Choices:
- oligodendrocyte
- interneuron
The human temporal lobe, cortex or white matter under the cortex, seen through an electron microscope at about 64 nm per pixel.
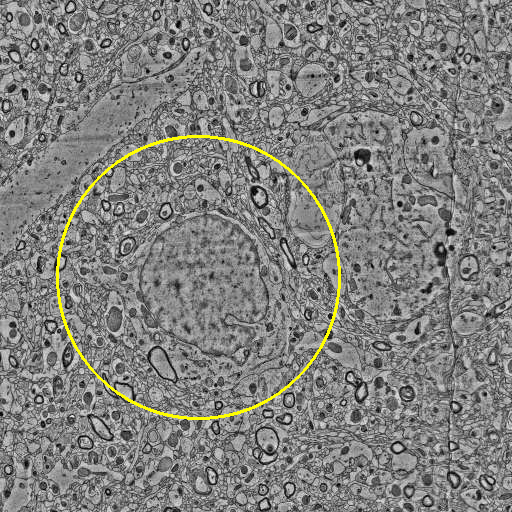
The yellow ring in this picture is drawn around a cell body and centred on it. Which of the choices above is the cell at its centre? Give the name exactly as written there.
interneuron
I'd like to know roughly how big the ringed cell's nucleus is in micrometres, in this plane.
About 9 micrometres across, as seen in this plane.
